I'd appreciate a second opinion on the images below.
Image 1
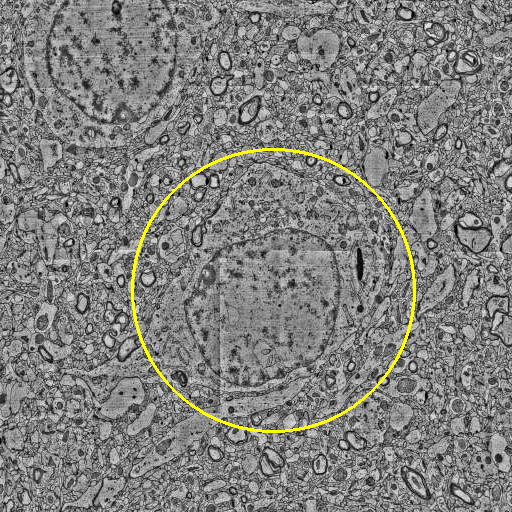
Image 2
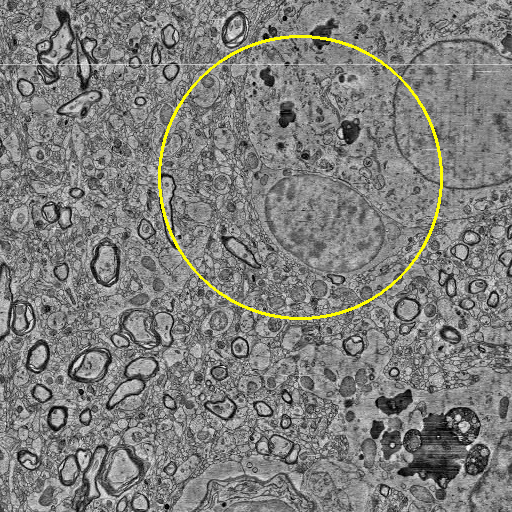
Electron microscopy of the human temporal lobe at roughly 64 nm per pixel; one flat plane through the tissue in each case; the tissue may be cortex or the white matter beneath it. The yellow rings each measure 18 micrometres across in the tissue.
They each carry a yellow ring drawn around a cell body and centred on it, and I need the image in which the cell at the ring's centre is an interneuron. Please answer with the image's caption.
Image 1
